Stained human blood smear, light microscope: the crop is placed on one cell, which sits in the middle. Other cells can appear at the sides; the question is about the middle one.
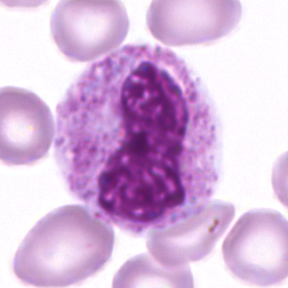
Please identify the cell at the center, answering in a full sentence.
The cell found in the middle of this crop is a metamyelocyte.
